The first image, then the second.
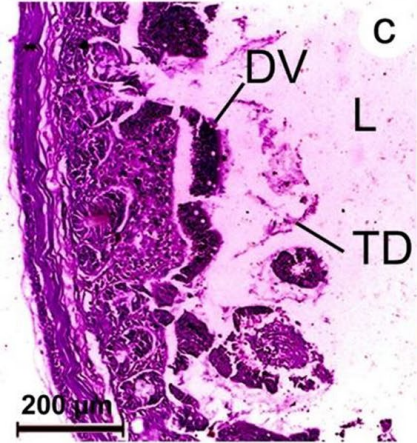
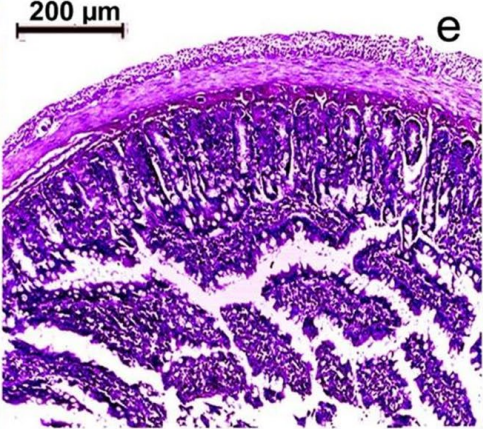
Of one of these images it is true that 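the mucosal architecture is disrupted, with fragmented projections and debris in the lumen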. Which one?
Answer: The first image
